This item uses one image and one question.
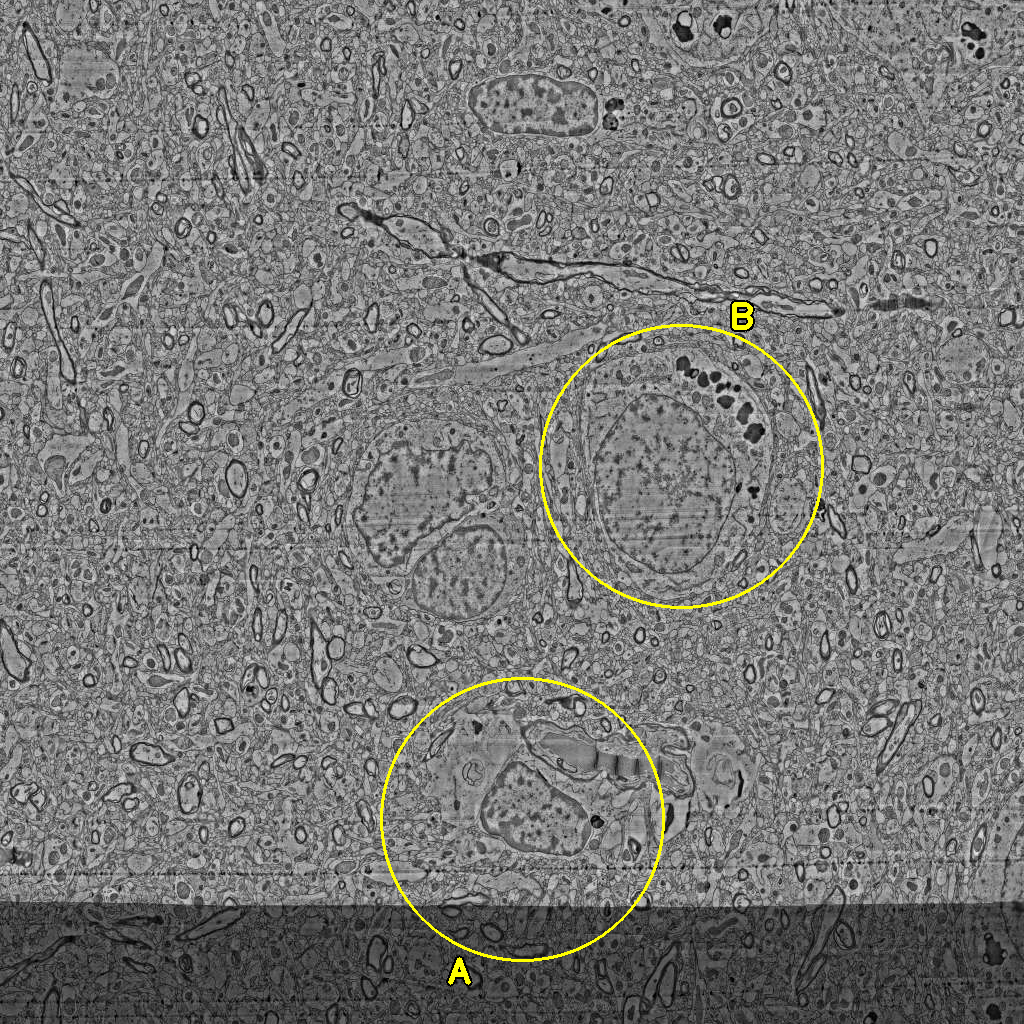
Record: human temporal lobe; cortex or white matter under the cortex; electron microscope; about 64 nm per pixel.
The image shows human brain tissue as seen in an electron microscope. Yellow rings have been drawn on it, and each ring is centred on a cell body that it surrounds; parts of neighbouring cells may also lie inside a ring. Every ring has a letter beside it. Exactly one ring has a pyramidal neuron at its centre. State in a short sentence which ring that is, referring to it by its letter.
Ring B has that cell at its centre.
